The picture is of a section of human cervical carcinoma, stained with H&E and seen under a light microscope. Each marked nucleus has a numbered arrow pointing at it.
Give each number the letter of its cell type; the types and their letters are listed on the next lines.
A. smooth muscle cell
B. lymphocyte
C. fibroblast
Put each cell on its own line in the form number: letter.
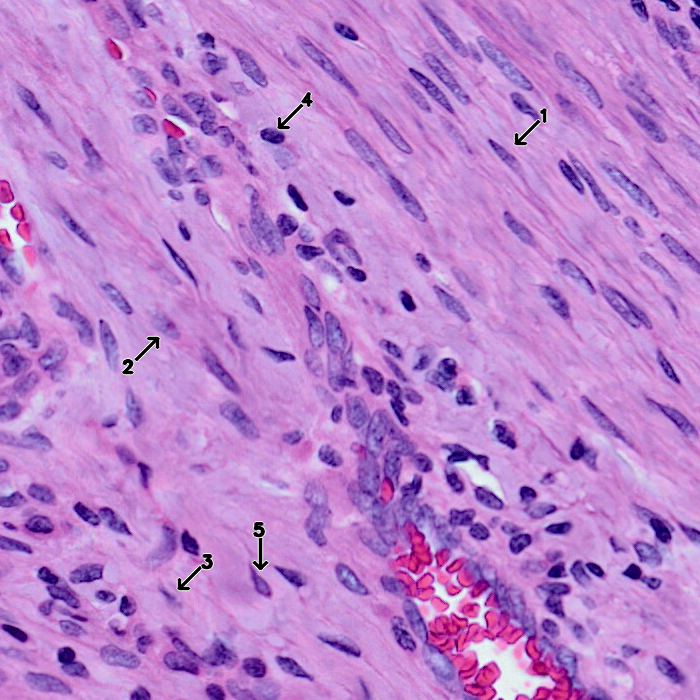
1: C
2: A
3: C
4: B
5: C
